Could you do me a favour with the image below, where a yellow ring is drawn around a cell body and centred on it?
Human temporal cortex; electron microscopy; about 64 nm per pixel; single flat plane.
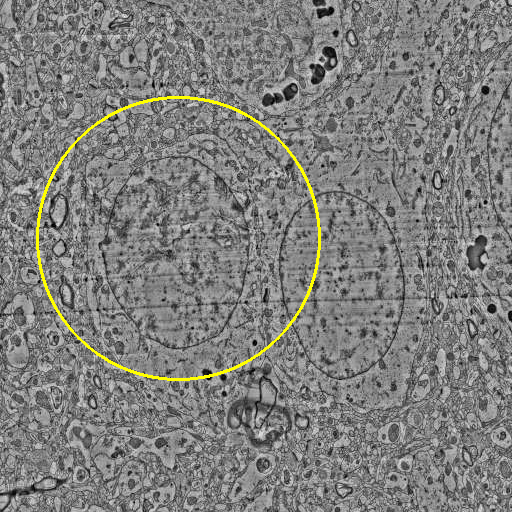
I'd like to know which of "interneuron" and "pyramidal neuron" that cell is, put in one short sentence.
The cell at the ring's centre is a pyramidal neuron.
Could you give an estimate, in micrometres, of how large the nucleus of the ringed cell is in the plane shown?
The nucleus works out at approximately 12 by 9 micrometres in this plane.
